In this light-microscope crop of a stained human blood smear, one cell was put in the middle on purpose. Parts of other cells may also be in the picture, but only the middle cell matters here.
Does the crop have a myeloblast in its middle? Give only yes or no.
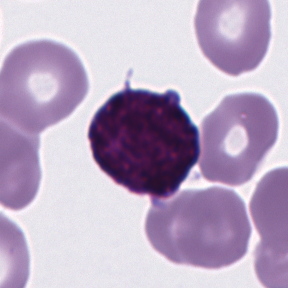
yes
